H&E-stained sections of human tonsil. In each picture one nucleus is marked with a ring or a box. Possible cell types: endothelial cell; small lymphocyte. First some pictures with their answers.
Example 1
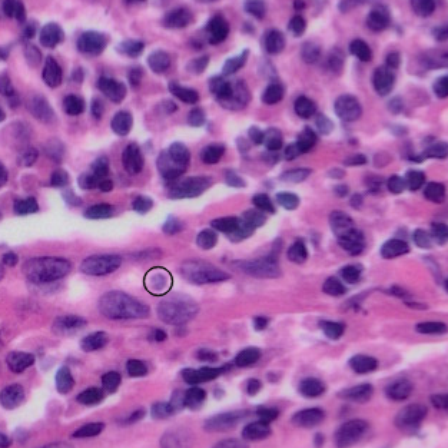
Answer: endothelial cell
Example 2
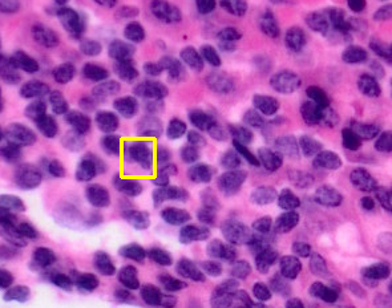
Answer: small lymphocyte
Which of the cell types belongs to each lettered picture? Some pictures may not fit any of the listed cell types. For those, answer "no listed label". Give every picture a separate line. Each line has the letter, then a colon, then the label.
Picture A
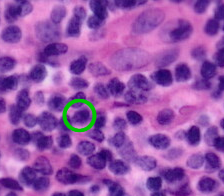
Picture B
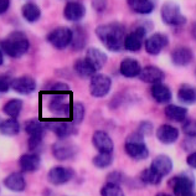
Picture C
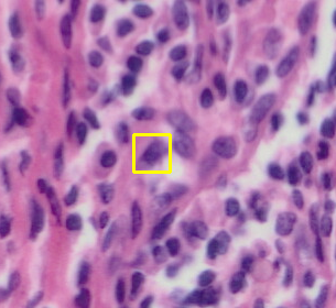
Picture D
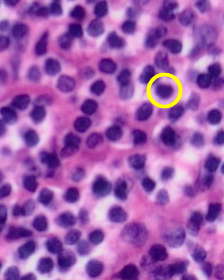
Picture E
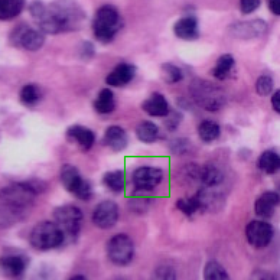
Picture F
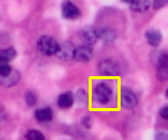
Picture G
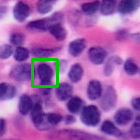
A: small lymphocyte
B: small lymphocyte
C: endothelial cell
D: small lymphocyte
E: no listed label
F: no listed label
G: small lymphocyte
